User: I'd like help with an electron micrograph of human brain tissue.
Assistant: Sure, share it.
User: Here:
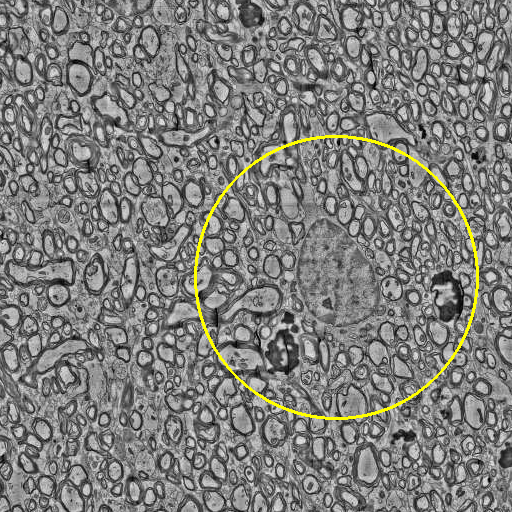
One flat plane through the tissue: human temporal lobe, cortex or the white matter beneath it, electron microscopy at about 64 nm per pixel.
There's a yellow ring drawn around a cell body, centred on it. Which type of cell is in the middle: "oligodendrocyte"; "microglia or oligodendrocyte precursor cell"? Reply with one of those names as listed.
oligodendrocyte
